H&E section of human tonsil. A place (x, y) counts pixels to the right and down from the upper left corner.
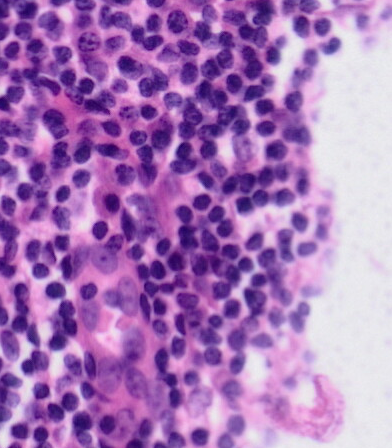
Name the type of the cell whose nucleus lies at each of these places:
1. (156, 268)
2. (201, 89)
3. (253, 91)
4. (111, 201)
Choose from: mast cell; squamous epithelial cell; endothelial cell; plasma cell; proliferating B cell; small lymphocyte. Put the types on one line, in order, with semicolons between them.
small lymphocyte; small lymphocyte; small lymphocyte; plasma cell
